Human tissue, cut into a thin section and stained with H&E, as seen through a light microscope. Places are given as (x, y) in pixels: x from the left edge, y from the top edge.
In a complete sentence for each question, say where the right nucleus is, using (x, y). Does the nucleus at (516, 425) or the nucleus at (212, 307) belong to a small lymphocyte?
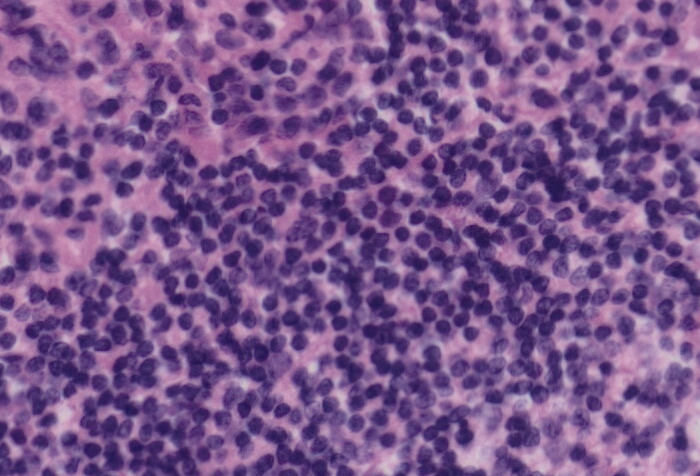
Of the two nuclei, the one at (212, 307) belongs to a small lymphocyte.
